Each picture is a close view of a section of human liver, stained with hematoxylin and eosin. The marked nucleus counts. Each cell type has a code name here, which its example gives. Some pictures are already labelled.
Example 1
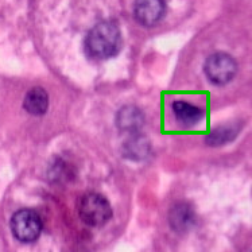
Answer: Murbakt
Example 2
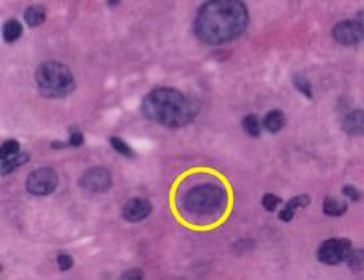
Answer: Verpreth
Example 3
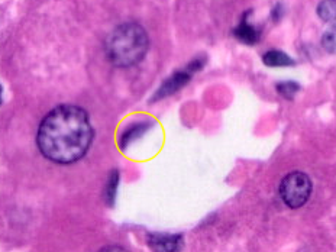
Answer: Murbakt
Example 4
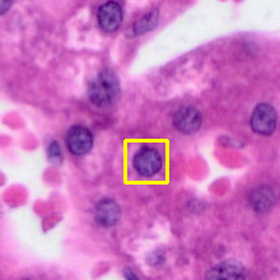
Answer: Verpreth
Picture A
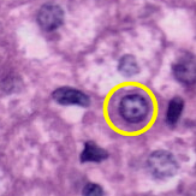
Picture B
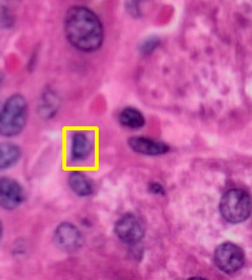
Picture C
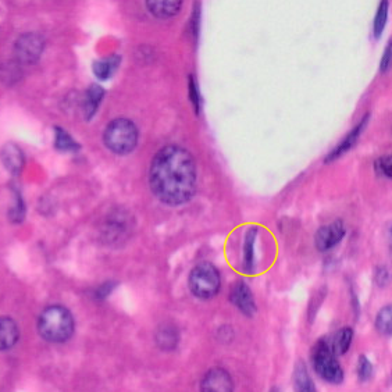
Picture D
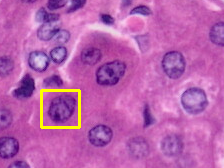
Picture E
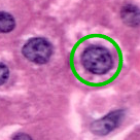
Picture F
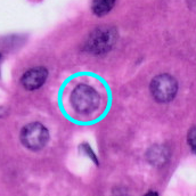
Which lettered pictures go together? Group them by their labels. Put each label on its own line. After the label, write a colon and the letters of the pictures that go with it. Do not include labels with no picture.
Murbakt: B, C
Verpreth: A, D, E, F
